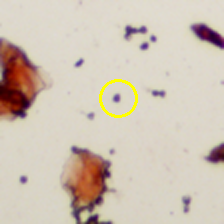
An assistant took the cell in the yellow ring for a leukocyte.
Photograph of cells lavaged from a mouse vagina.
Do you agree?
I agree, it is a leukocyte.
